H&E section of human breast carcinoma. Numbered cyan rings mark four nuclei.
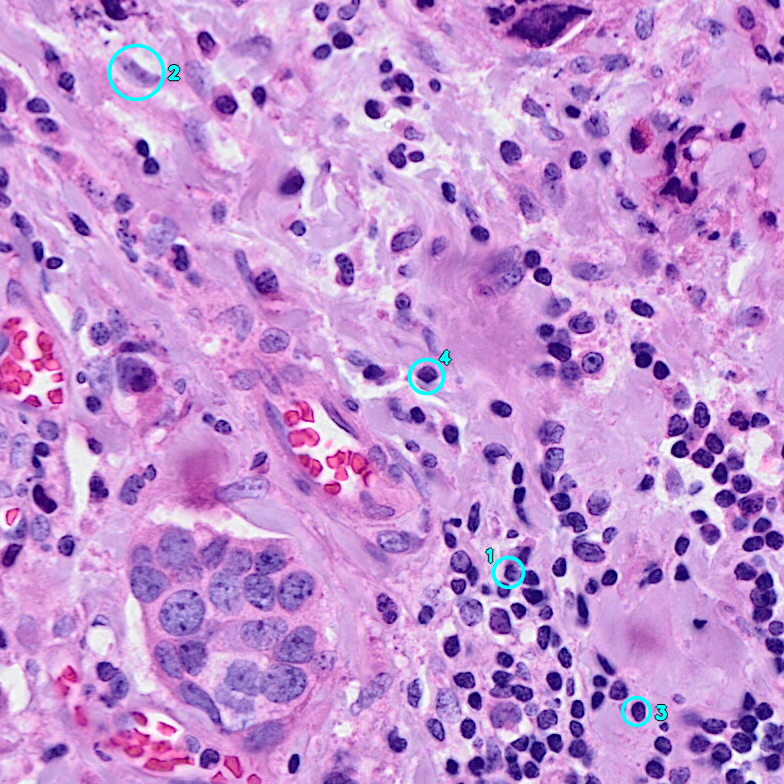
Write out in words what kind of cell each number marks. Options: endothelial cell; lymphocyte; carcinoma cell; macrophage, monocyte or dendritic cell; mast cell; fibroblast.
Cell 1 is a lymphocyte, cell 2 is a fibroblast, cell 3 is a lymphocyte and cell 4 is a lymphocyte.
